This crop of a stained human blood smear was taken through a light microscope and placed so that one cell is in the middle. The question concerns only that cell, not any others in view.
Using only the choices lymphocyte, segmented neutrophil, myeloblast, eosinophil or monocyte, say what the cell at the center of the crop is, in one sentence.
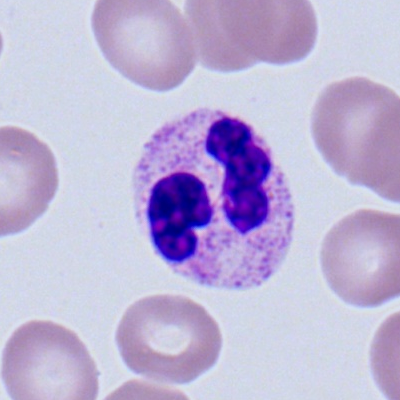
The cell occupying the middle of the crop is a segmented neutrophil.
